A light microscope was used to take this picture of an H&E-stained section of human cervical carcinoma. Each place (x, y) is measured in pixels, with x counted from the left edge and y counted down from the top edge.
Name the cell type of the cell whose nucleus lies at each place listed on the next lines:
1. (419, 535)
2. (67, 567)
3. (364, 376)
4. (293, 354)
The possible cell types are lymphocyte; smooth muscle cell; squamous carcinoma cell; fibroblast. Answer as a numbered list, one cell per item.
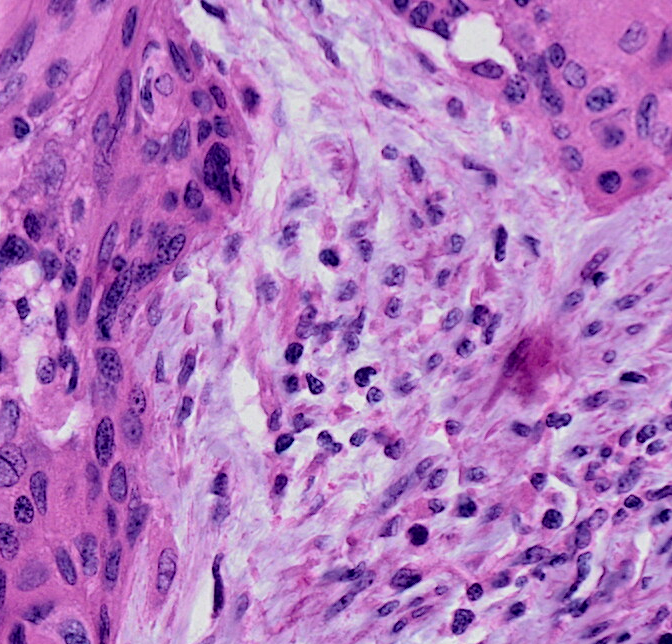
1. lymphocyte
2. squamous carcinoma cell
3. lymphocyte
4. lymphocyte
